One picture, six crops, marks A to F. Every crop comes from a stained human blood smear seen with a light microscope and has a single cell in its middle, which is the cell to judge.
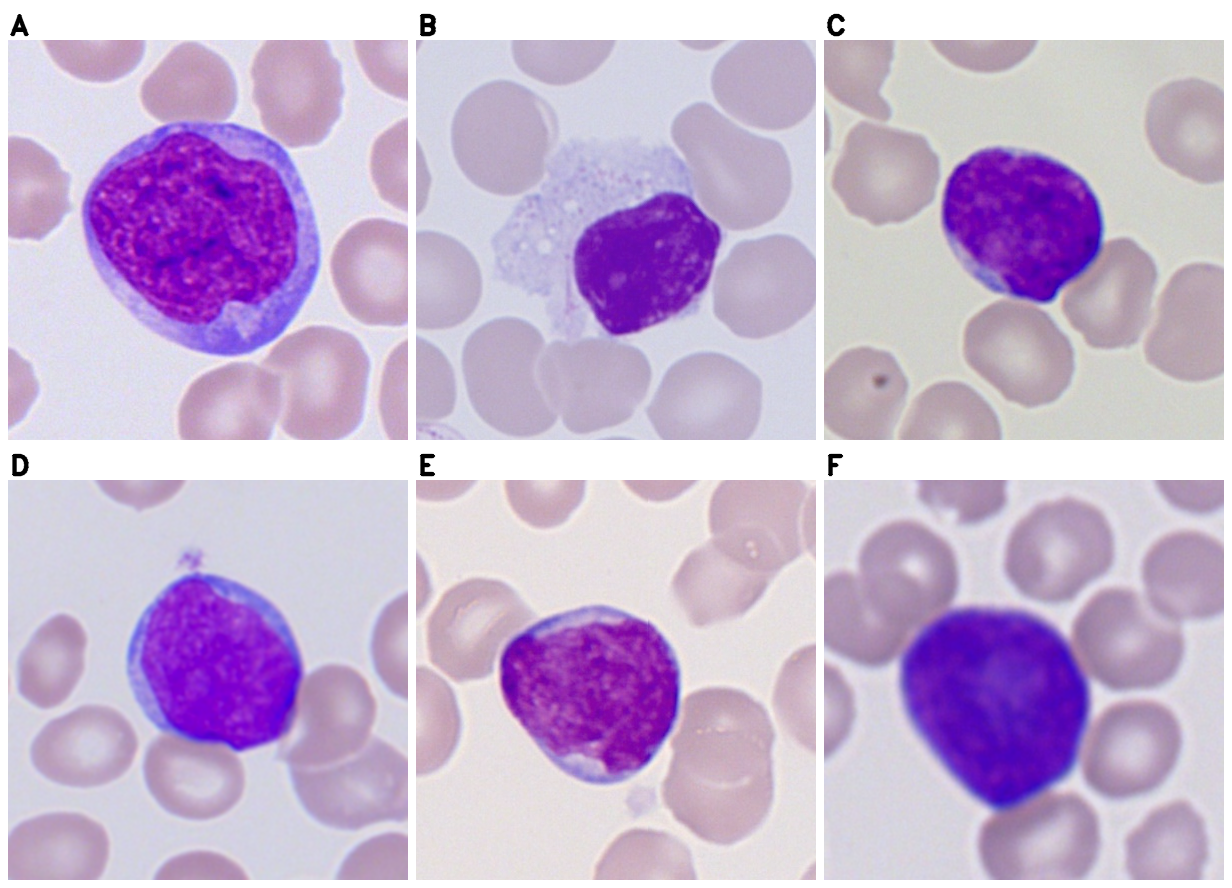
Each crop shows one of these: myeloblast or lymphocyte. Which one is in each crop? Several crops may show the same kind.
A: myeloblast
B: lymphocyte
C: myeloblast
D: myeloblast
E: myeloblast
F: myeloblast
